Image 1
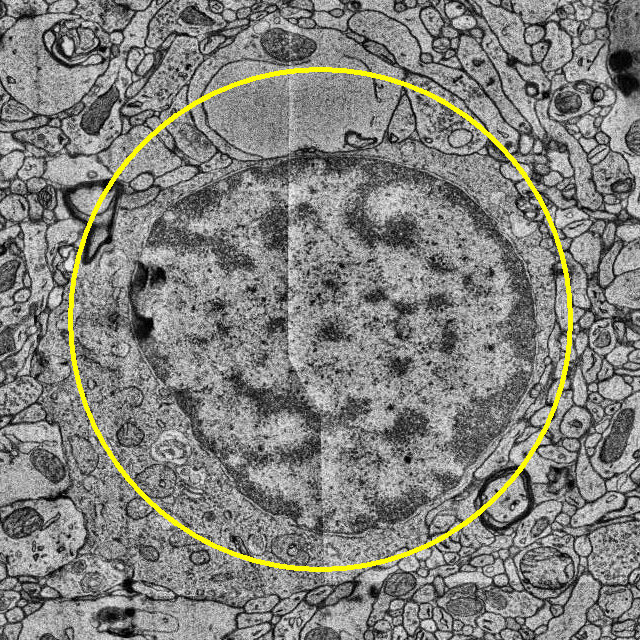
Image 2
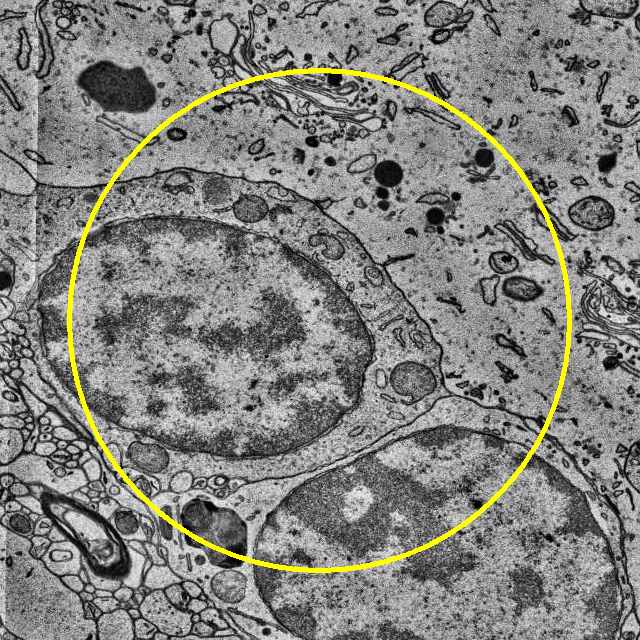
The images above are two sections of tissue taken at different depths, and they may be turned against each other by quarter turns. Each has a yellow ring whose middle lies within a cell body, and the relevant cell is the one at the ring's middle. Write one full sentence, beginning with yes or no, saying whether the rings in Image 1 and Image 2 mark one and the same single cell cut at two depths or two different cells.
No, each of the two rings holds a different cell.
